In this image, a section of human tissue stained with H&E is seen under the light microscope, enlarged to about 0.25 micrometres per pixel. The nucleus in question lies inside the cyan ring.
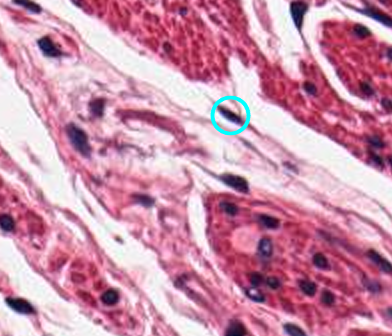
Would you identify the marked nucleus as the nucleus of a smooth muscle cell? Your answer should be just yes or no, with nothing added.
no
